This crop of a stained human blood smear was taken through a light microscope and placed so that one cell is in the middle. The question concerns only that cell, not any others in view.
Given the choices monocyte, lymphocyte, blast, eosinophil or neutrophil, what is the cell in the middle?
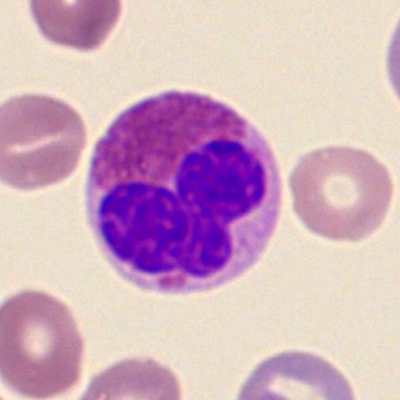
eosinophil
